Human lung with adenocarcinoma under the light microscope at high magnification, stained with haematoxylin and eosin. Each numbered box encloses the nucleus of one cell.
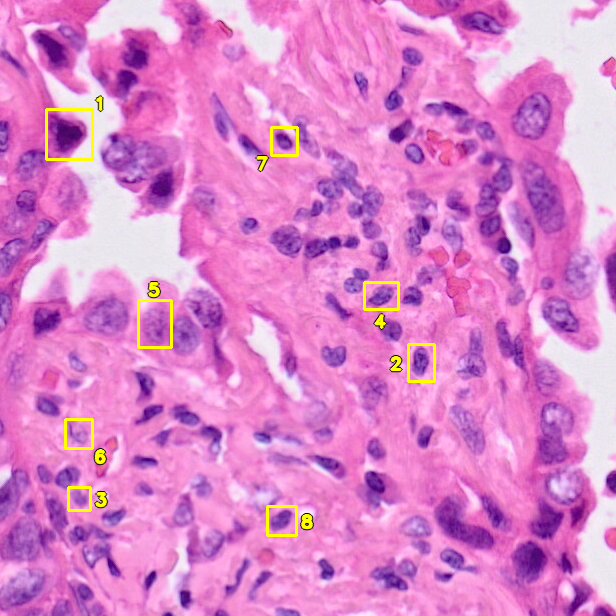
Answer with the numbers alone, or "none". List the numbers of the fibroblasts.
6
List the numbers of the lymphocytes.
2, 3, 4, 7, 8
